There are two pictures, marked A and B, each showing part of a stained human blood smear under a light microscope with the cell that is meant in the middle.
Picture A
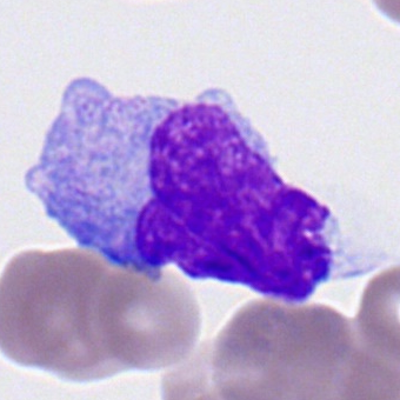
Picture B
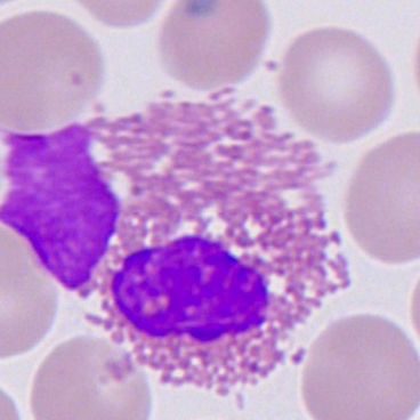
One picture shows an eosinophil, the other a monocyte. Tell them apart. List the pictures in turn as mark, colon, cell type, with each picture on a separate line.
A: monocyte
B: eosinophil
